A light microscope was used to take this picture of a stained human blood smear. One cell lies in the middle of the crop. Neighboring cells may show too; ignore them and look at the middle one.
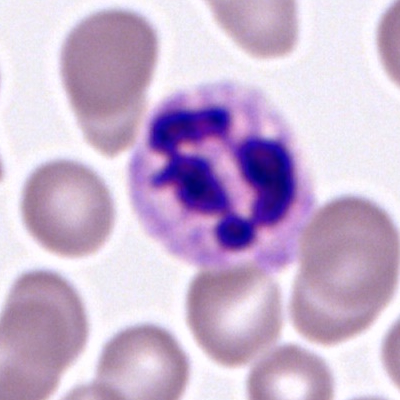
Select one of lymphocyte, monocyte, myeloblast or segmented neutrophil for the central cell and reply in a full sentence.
The crop's centre is taken up by a segmented neutrophil.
